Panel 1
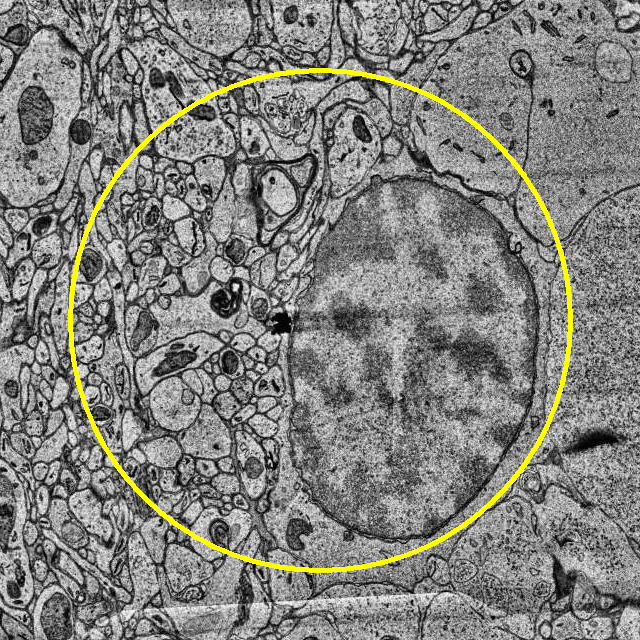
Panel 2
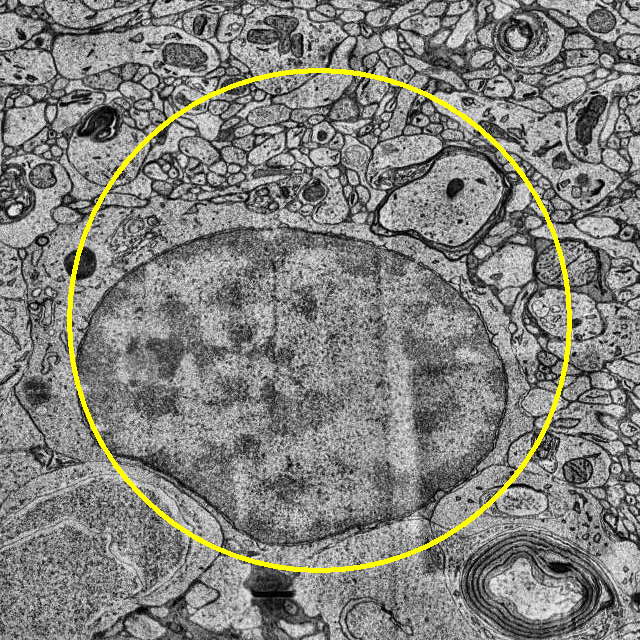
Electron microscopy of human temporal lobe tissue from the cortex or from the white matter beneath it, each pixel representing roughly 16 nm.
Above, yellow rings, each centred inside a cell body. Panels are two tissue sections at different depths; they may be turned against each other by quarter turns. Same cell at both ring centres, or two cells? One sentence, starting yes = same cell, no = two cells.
Yes, the two rings refer to one cell in the tissue.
